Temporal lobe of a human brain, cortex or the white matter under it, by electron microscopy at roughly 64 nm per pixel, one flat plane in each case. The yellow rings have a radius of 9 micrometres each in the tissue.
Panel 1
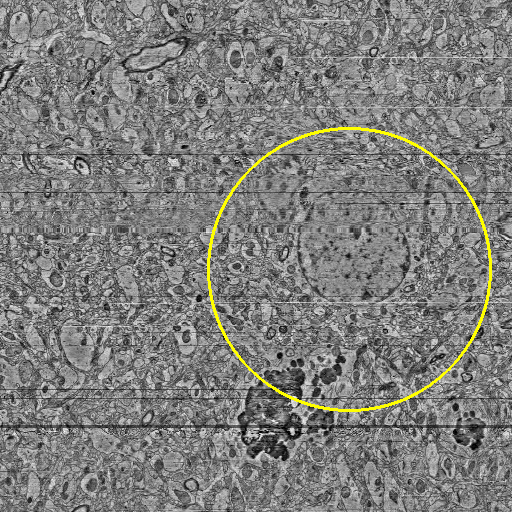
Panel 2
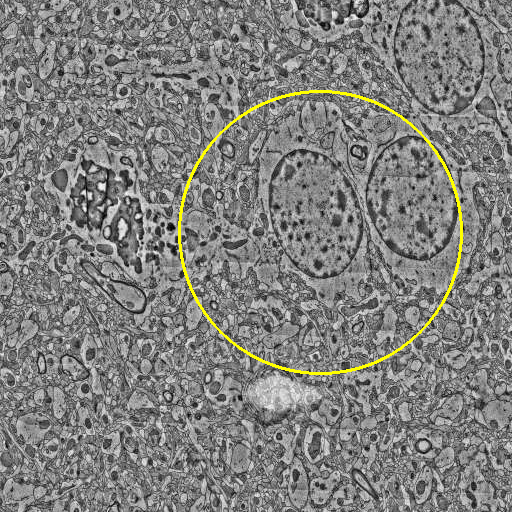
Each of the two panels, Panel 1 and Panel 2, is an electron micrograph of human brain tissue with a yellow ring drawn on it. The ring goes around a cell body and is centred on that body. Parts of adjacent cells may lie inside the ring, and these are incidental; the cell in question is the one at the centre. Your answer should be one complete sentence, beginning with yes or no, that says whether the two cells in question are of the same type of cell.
Yes, the two cells are of the same type.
